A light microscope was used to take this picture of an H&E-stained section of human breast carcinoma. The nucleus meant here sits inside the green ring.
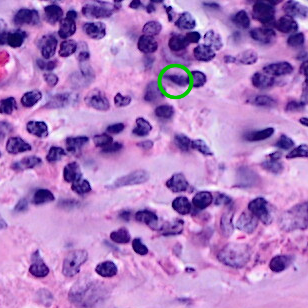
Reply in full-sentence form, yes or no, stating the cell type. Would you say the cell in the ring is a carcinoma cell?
No, mark the cell in the ring as a lymphocyte, not as a carcinoma cell.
